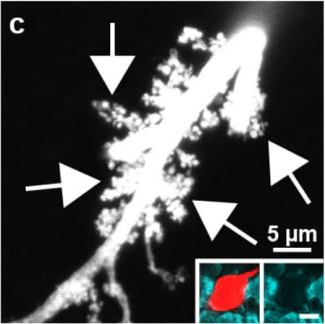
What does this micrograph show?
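Along a stretch of the trunk it is densely covered by large, elaborate, multilobed protrusions that form grape-like clusters on all sides. These clusters are far bigger than ordinary dendritic spines and make the trunk look bushy. Below the clustered stretch the dendrite narrows and gives off thinner branches with smaller protrusions. Small insets in the lower right corner show a filled cell body in red beside a field of cells in cyan.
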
